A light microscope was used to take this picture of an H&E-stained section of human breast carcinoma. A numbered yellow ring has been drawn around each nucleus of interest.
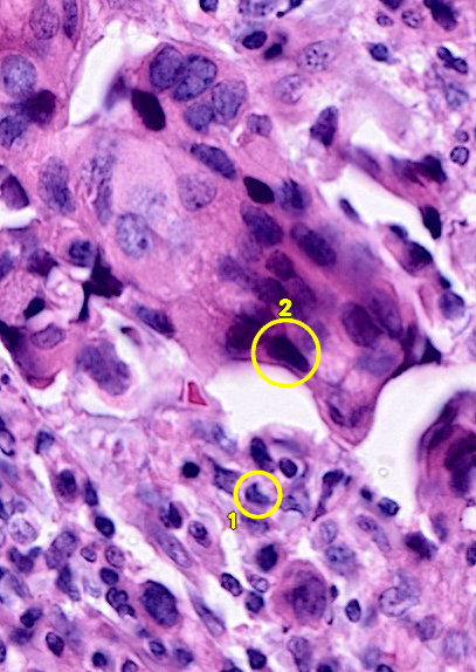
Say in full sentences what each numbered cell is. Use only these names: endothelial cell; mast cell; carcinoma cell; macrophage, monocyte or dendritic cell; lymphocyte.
Cell 1 is a lymphocyte. Cell 2 is a carcinoma cell.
